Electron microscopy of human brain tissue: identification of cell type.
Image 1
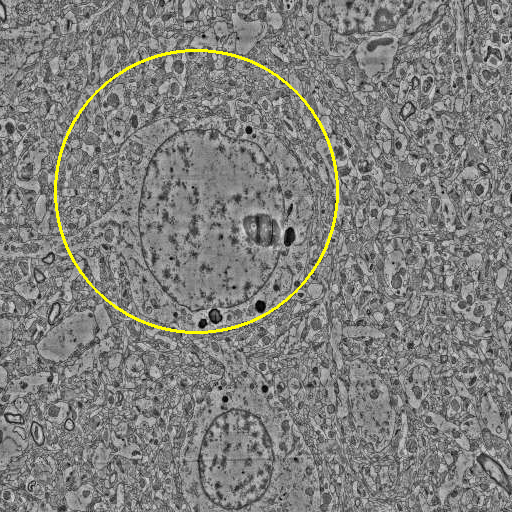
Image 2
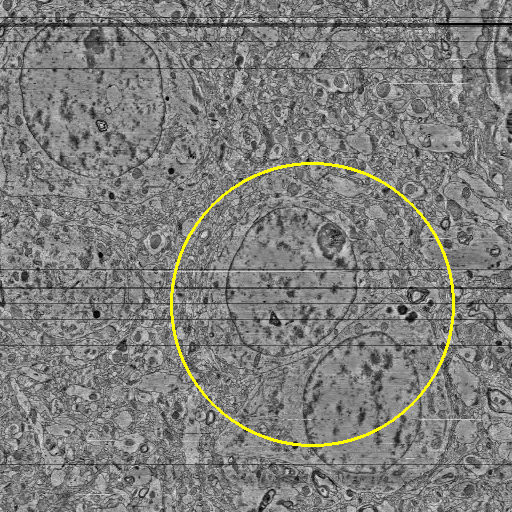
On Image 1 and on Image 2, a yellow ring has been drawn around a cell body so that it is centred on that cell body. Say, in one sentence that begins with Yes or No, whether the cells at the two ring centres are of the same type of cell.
Yes, both cells are the same type of cell.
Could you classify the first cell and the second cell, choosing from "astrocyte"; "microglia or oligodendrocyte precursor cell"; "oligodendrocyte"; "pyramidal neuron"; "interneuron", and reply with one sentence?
In each of the two pictures, the ringed cell is a pyramidal neuron.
